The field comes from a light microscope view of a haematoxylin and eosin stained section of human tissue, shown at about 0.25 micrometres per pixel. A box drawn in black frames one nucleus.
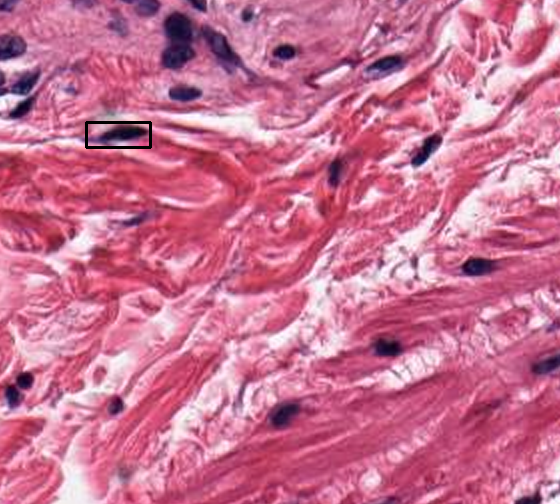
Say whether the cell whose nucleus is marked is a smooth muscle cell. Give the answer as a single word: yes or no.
no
